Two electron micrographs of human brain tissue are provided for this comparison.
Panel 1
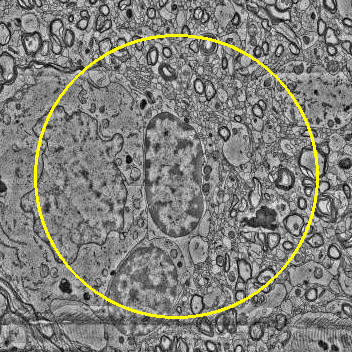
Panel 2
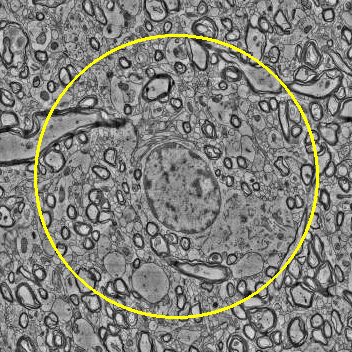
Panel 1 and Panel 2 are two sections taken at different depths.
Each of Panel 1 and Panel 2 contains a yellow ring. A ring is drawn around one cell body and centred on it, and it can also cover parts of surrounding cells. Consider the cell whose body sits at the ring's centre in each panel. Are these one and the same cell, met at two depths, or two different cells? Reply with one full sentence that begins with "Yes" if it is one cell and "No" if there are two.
No, the circled cells number two, not one.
